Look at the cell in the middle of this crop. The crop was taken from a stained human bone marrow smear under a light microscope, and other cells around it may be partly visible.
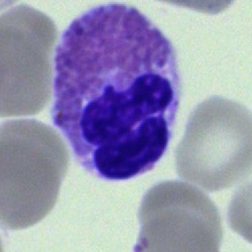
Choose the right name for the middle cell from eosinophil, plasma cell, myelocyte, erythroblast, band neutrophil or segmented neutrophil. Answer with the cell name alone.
eosinophil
